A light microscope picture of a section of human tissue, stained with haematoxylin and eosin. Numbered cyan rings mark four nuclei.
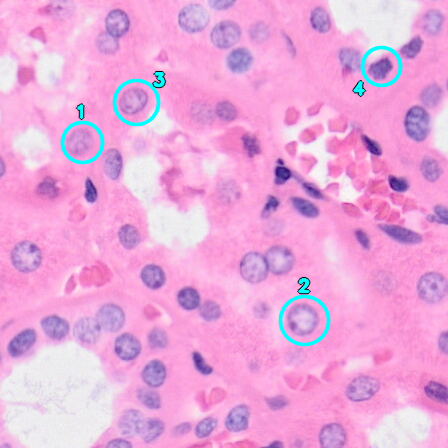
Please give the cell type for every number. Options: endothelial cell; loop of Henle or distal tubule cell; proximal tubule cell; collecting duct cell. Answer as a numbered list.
1. proximal tubule cell
2. proximal tubule cell
3. proximal tubule cell
4. loop of Henle or distal tubule cell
